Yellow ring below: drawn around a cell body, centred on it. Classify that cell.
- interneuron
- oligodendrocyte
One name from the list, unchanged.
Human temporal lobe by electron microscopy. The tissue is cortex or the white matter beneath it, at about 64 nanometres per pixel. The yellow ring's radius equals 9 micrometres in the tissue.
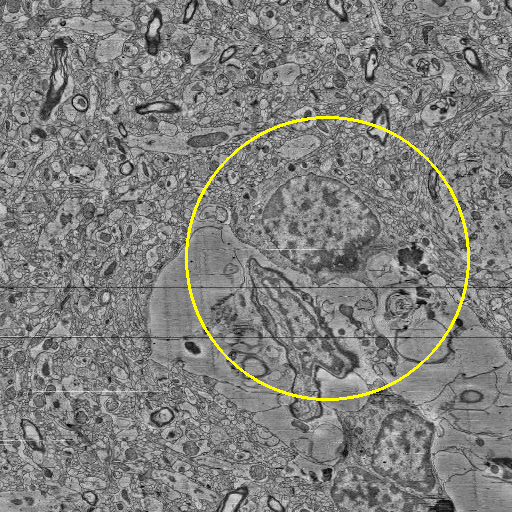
oligodendrocyte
